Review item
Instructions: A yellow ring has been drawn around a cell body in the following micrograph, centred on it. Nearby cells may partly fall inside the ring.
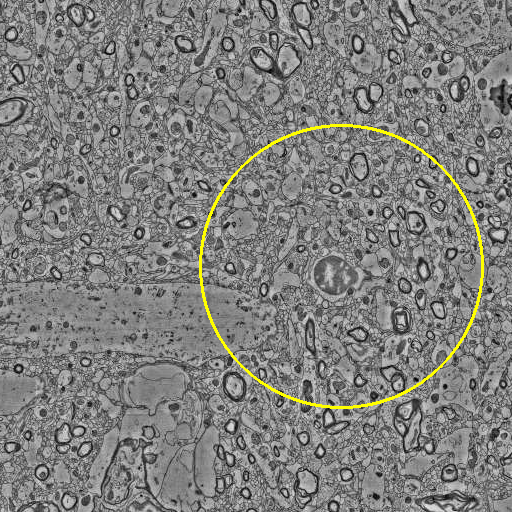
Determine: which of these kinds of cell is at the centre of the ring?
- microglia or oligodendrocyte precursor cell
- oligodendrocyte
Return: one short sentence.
The cell body in the middle of the ring is that of a microglial cell or oligodendrocyte precursor cell.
